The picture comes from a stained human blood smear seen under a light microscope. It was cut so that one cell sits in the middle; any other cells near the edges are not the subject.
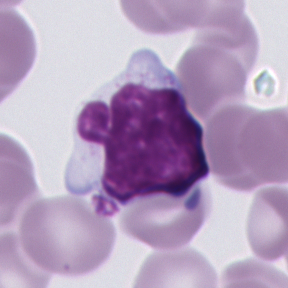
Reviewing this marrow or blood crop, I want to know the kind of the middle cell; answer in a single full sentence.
Seen at the centre of the crop is a large granular lymphocyte.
